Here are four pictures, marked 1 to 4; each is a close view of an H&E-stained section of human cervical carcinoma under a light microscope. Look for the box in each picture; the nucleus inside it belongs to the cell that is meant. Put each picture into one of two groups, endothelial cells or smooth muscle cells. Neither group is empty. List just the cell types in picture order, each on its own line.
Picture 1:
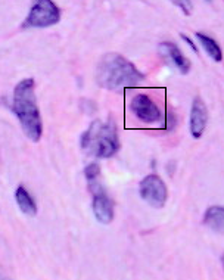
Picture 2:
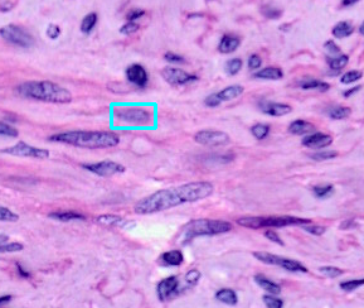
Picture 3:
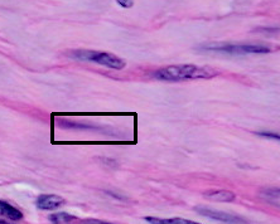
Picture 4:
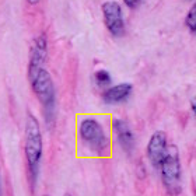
endothelial cell
smooth muscle cell
smooth muscle cell
smooth muscle cell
